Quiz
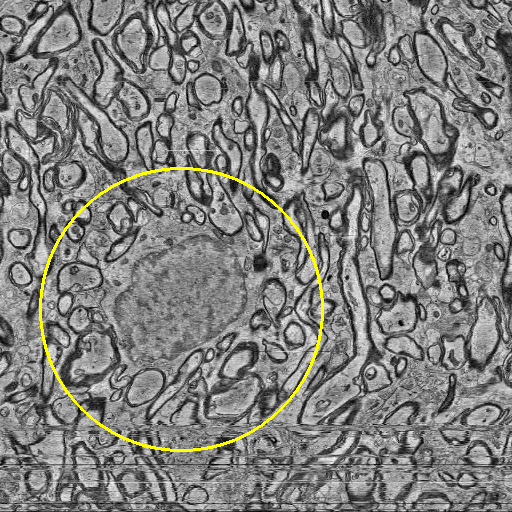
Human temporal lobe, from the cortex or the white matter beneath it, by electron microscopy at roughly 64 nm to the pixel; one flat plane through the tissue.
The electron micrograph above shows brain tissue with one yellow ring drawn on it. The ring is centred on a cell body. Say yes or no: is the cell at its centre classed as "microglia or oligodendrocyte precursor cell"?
no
